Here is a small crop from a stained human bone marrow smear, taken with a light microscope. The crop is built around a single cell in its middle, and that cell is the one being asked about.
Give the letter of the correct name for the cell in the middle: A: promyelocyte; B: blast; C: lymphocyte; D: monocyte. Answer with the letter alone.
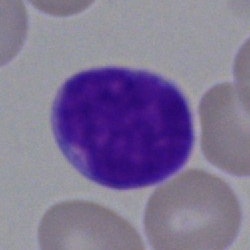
B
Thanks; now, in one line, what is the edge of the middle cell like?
Smooth outline, no projections: that is the whole story of its edge.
